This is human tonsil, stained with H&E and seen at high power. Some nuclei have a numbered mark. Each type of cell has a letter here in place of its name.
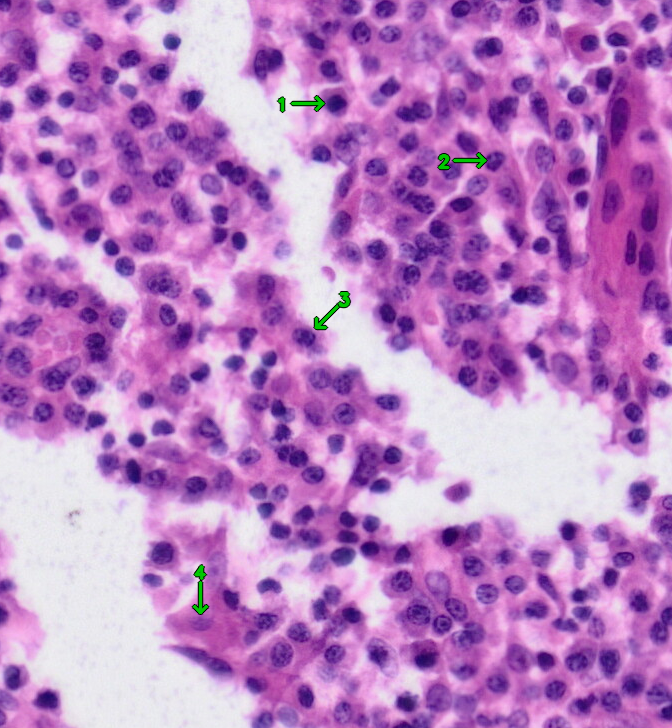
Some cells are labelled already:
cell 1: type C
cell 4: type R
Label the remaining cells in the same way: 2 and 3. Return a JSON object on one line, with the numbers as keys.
{"2": "type C", "3": "type C"}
